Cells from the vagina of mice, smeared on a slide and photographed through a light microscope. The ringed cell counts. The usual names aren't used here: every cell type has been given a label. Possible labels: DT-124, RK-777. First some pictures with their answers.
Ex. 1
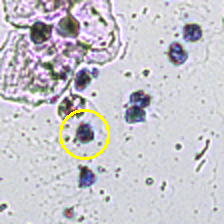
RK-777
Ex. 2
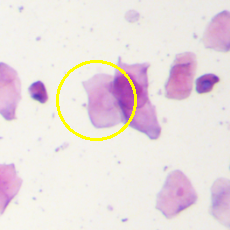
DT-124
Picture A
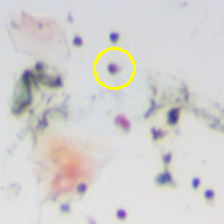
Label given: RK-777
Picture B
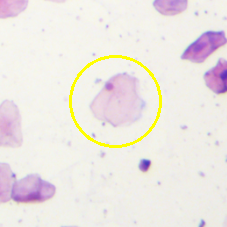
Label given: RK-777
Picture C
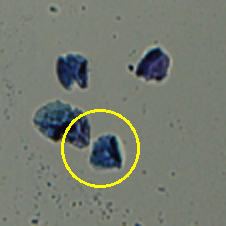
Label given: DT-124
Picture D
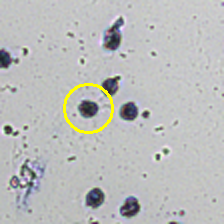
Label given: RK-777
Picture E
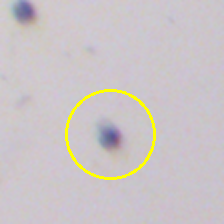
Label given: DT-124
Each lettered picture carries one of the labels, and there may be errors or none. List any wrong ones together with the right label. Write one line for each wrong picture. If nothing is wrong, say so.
Wrong: B (RK-777); correct: DT-124
Wrong: E (DT-124); correct: RK-777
